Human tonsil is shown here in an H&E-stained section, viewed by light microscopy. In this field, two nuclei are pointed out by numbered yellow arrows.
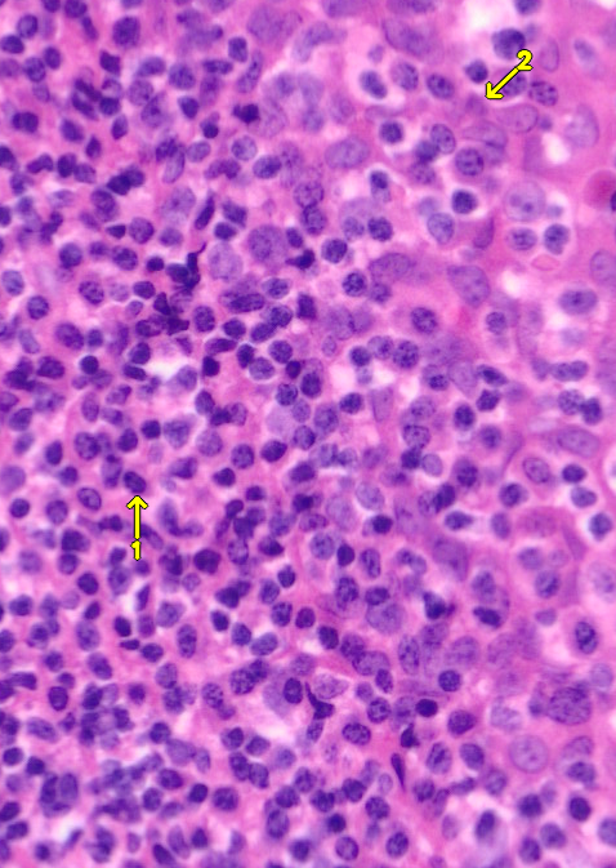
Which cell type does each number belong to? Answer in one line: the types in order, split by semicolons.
plasma cell; squamous epithelial cell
